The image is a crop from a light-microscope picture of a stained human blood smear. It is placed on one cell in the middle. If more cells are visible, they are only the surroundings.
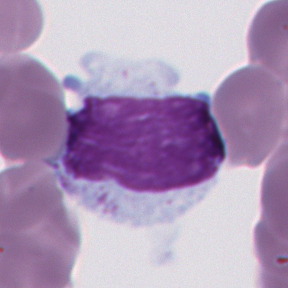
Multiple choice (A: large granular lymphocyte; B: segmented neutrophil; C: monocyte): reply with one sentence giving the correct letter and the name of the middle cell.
The central cell in this crop is a large granular lymphocyte, so the correct choice is option A.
